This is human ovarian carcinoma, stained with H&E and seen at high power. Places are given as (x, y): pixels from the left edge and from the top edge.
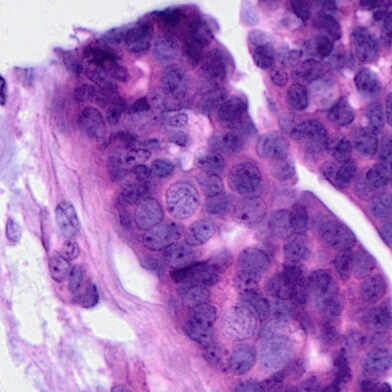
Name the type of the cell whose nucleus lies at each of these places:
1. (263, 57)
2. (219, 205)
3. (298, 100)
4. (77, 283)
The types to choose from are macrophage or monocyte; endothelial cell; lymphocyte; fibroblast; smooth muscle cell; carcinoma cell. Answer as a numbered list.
1. carcinoma cell
2. carcinoma cell
3. carcinoma cell
4. endothelial cell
